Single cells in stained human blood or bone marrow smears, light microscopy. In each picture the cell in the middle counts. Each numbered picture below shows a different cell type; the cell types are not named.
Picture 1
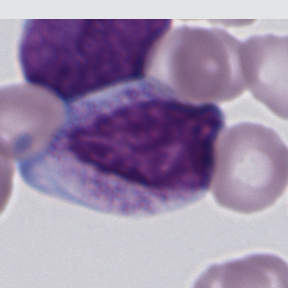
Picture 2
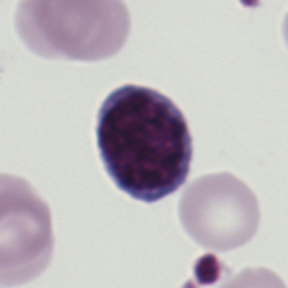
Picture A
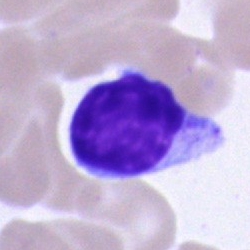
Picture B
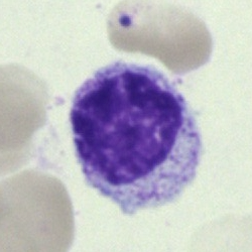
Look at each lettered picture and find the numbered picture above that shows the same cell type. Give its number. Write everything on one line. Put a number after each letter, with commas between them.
A 2, B 1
